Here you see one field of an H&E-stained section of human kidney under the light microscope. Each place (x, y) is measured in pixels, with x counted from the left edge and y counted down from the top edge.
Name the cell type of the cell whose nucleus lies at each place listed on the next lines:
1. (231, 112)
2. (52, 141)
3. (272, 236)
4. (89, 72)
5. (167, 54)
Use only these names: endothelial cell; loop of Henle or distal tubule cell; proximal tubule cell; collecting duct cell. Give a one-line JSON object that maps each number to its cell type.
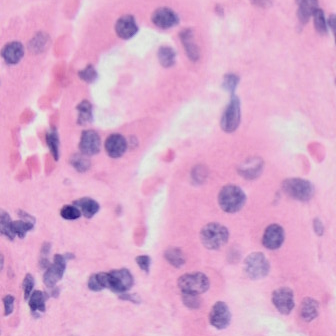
{"1": "endothelial cell", "2": "endothelial cell", "3": "loop of Henle or distal tubule cell", "4": "loop of Henle or distal tubule cell", "5": "loop of Henle or distal tubule cell"}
